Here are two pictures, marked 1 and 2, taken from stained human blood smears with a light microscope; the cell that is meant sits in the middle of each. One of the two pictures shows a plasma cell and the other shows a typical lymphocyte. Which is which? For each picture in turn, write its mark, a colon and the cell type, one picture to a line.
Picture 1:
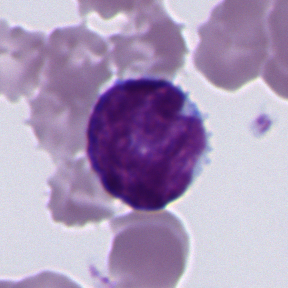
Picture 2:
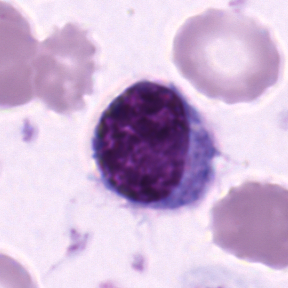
1: typical lymphocyte
2: plasma cell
